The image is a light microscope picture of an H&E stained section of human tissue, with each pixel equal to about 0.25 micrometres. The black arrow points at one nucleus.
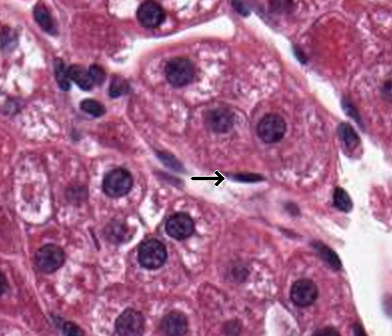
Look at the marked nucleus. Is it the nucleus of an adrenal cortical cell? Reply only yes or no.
no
